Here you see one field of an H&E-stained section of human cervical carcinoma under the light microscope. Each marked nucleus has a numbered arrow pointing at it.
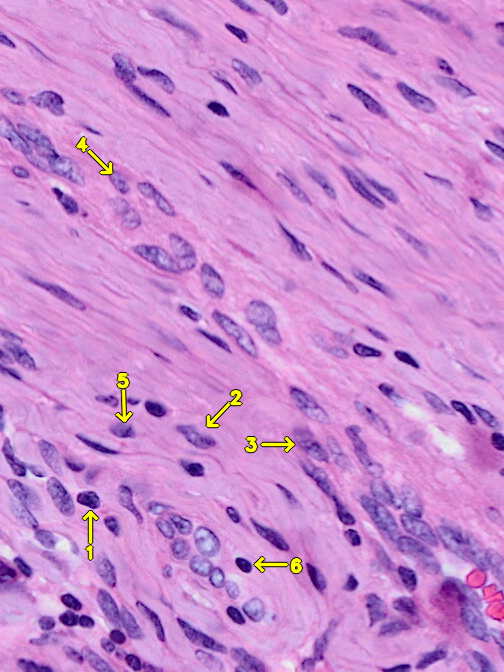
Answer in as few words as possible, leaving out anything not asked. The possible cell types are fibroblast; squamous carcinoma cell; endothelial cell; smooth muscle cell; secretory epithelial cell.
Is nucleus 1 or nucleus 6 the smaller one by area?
6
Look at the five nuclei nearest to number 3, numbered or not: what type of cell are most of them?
smooth muscle cell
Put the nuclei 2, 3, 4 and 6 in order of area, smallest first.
6, 4, 2, 3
